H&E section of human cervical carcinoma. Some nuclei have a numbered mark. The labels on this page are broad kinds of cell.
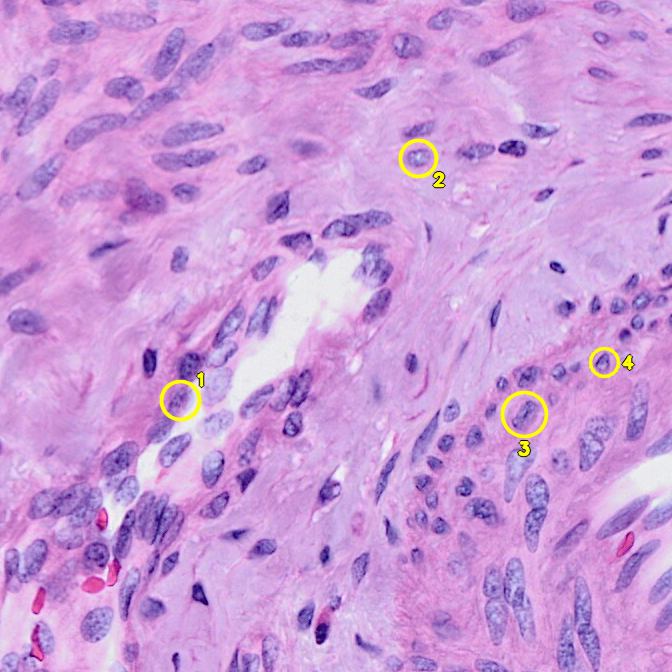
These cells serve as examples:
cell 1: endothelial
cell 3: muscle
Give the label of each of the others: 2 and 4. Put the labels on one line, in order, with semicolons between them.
muscle; muscle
